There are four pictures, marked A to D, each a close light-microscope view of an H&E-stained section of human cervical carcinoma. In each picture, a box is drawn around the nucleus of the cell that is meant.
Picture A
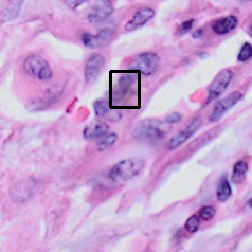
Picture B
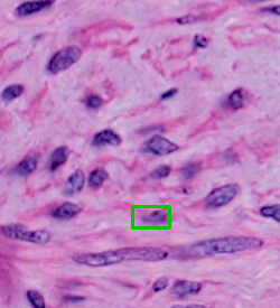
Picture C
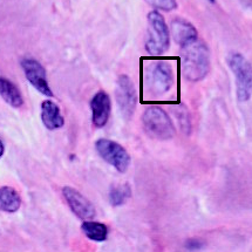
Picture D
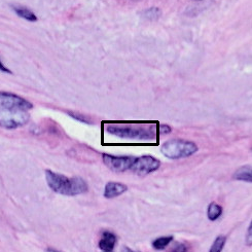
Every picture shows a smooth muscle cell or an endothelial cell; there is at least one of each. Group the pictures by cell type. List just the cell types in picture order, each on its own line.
endothelial cell
smooth muscle cell
endothelial cell
endothelial cell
